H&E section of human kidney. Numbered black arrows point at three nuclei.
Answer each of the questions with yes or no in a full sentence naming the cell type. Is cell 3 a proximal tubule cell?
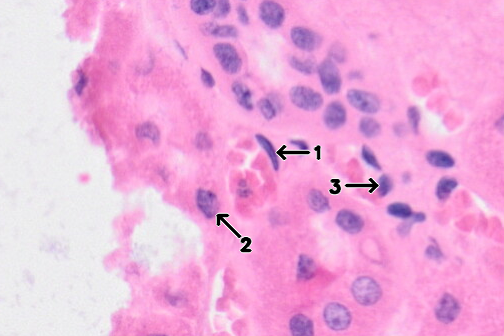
No, the cell tagged 3 is an endothelial cell, not a proximal tubule cell.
